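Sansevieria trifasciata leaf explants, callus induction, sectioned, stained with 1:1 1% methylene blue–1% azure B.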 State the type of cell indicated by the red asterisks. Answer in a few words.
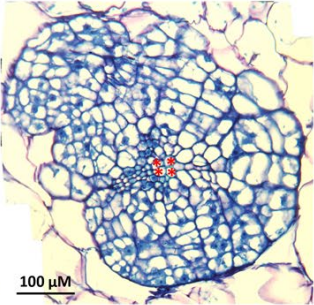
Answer: Xylem cell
